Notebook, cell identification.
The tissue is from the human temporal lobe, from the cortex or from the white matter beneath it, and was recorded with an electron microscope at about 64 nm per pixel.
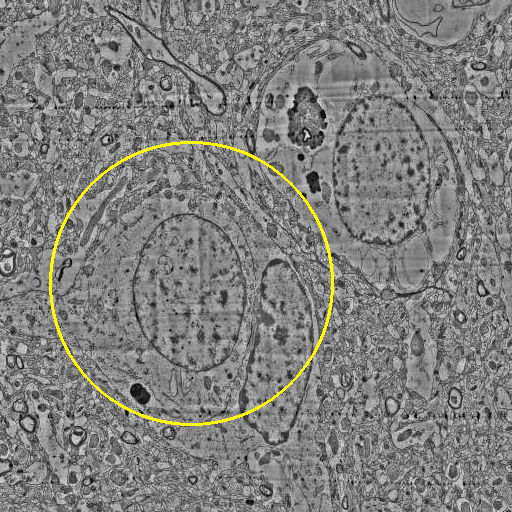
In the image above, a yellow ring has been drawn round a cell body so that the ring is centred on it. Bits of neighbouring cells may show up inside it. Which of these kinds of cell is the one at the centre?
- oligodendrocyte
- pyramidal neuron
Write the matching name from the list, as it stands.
pyramidal neuron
